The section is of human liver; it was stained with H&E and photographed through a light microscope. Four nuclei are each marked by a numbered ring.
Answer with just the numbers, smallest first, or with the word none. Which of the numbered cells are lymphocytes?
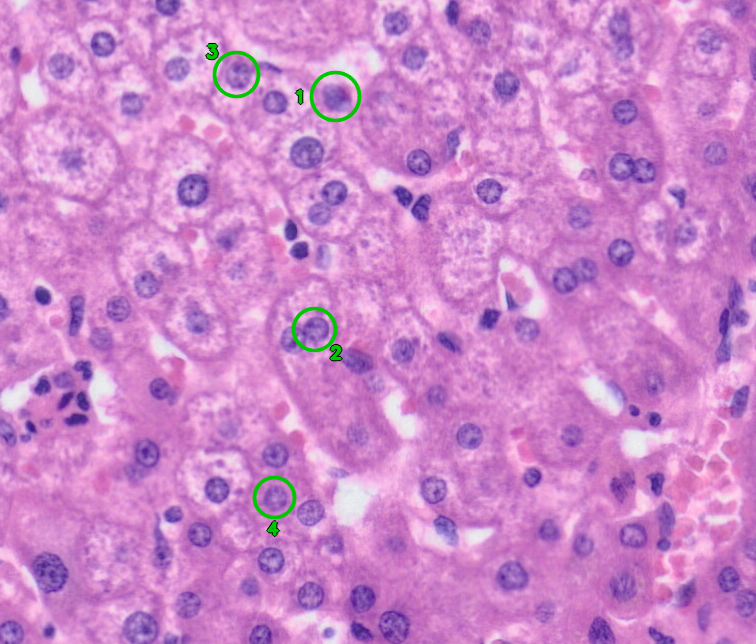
none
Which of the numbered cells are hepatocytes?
2, 3, 4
